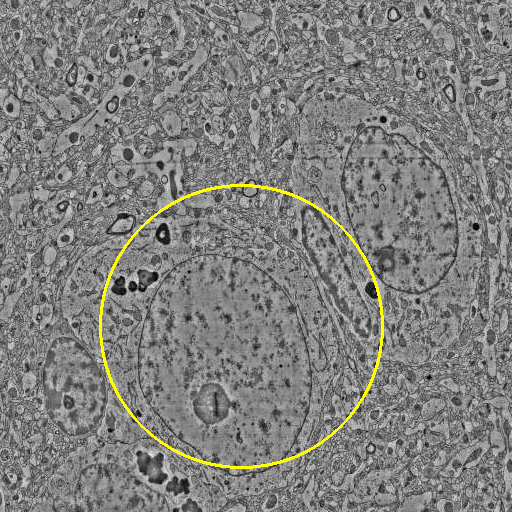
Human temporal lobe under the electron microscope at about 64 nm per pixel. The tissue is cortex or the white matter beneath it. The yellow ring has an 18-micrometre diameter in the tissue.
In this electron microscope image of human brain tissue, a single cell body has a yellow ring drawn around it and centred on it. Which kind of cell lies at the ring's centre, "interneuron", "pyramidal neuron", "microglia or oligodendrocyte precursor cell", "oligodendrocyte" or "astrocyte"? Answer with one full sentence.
It is a pyramidal neuron whose cell body lies at the centre of the yellow ring here.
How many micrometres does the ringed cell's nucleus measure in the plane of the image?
About 15 by 11 micrometers for the nucleus, in this plane.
